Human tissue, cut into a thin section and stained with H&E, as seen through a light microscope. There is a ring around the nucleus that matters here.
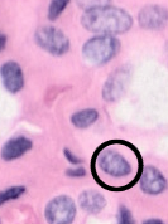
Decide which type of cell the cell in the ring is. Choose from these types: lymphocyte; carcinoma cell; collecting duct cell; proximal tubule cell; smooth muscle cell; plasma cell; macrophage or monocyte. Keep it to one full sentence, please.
What the cell in the ring represents is a collecting duct cell.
